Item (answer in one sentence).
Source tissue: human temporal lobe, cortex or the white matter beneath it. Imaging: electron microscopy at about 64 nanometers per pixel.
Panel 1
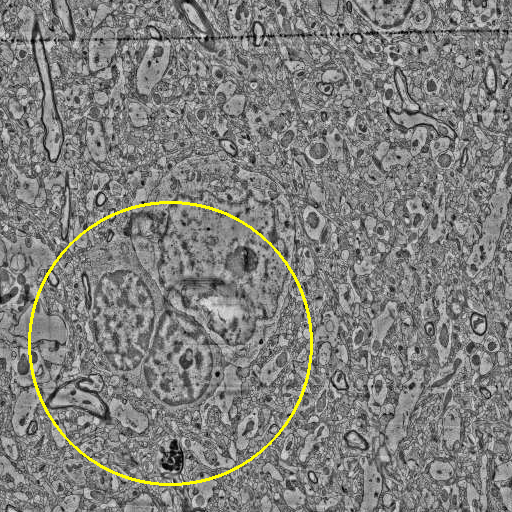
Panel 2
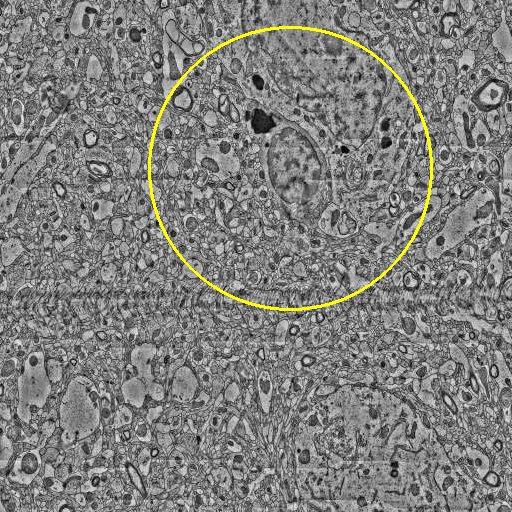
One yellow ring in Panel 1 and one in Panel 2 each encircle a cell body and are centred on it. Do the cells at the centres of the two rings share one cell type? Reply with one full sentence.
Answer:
Yes, Panel 1 and Panel 2 show cells of one type at the centres of their rings.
